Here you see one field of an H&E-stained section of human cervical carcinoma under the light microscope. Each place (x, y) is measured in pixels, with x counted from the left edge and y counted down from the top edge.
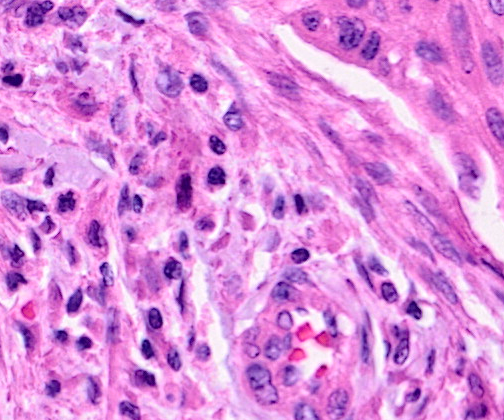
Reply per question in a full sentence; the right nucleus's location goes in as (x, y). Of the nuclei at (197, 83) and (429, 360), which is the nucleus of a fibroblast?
The nucleus at (429, 360), rather than the other one, belongs to a fibroblast.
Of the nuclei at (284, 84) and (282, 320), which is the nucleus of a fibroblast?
The nucleus lying at (284, 84) is the nucleus of a fibroblast.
